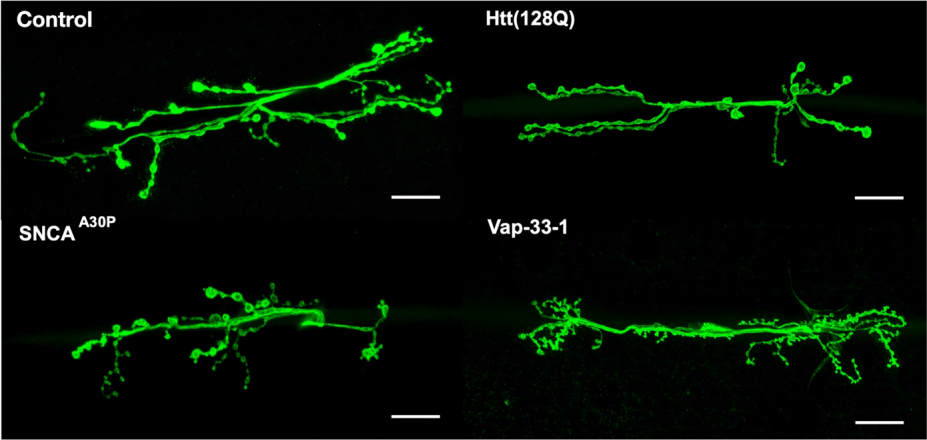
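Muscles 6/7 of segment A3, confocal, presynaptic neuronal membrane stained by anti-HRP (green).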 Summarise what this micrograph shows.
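Along the branches lie rounded swellings, the synaptic boutons, strung like beads; some are large and plump, others small and clustered near branch ends. In one of the four images the terminal is more densely branched and crowded with many small boutons, some budding off the sides of larger ones, while the others show fewer, larger boutons on simpler branches.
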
